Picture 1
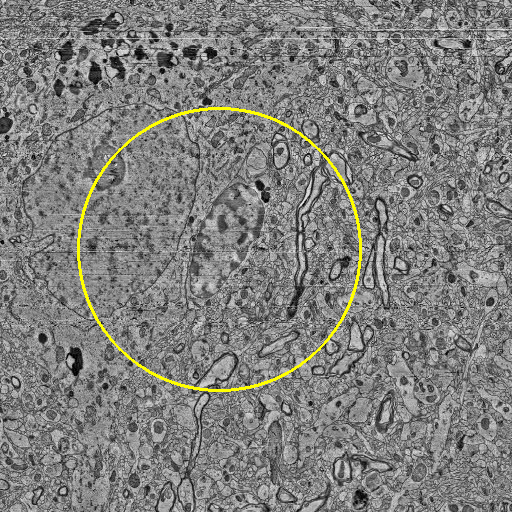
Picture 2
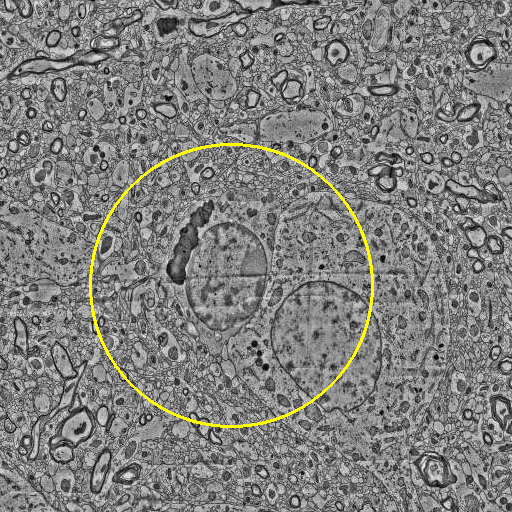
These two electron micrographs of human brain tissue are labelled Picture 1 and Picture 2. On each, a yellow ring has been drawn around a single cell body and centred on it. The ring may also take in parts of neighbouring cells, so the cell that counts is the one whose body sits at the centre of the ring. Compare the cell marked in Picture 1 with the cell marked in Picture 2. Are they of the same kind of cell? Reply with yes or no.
no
